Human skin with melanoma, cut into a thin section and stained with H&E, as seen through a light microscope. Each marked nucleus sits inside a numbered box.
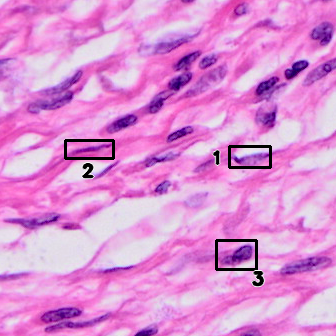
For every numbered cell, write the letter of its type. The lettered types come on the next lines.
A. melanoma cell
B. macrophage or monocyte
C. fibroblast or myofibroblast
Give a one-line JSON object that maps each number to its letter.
{"1": "C", "2": "C", "3": "B"}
